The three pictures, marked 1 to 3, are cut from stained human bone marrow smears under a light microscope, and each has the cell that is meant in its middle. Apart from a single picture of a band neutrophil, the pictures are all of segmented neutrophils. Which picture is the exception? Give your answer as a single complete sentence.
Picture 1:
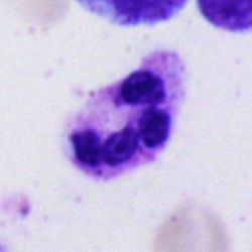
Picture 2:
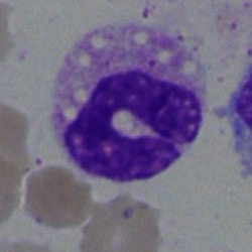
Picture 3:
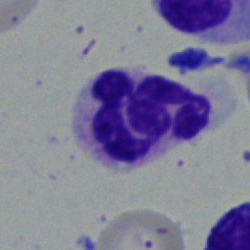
The picture with the band neutrophil is 2.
